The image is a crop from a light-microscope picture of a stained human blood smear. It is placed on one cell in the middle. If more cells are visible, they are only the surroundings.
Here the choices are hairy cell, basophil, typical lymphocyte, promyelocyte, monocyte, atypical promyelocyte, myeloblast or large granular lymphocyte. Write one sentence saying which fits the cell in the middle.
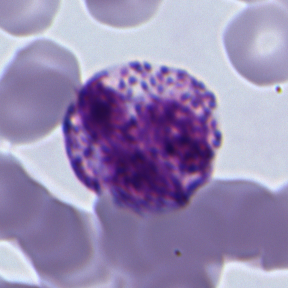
What sits at the centre of this crop is a basophil.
